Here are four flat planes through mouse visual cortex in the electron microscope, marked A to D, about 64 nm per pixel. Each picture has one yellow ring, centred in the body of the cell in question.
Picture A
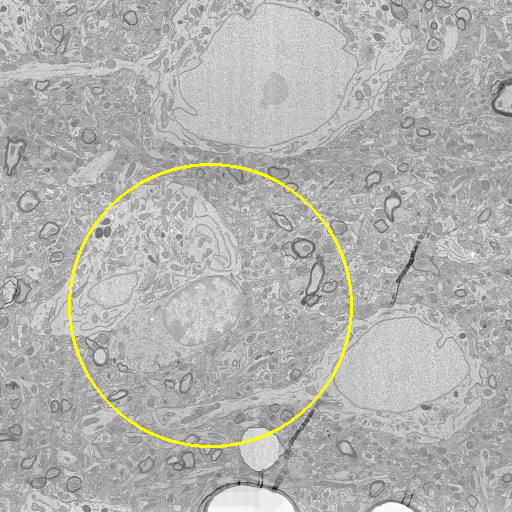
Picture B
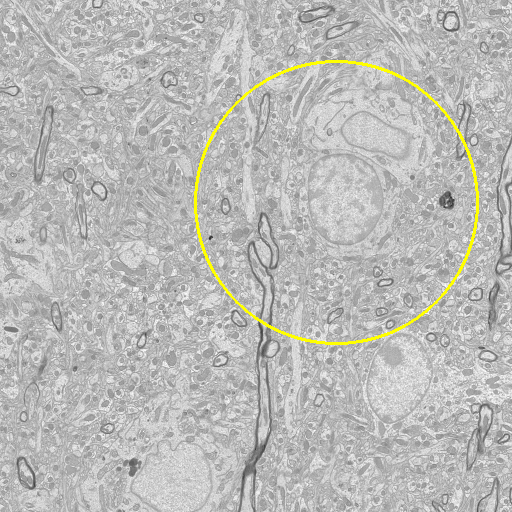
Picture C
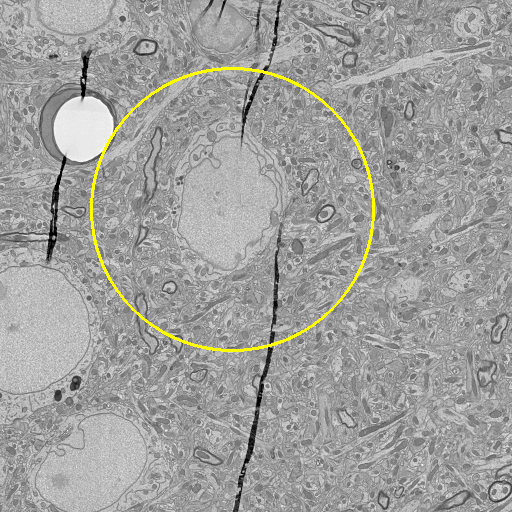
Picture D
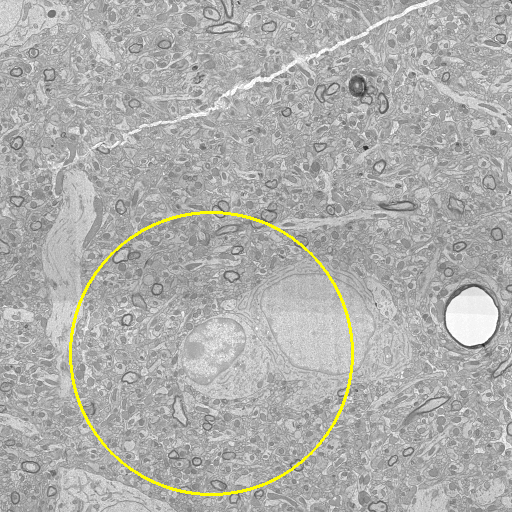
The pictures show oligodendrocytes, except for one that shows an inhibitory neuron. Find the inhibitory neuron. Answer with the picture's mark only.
C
